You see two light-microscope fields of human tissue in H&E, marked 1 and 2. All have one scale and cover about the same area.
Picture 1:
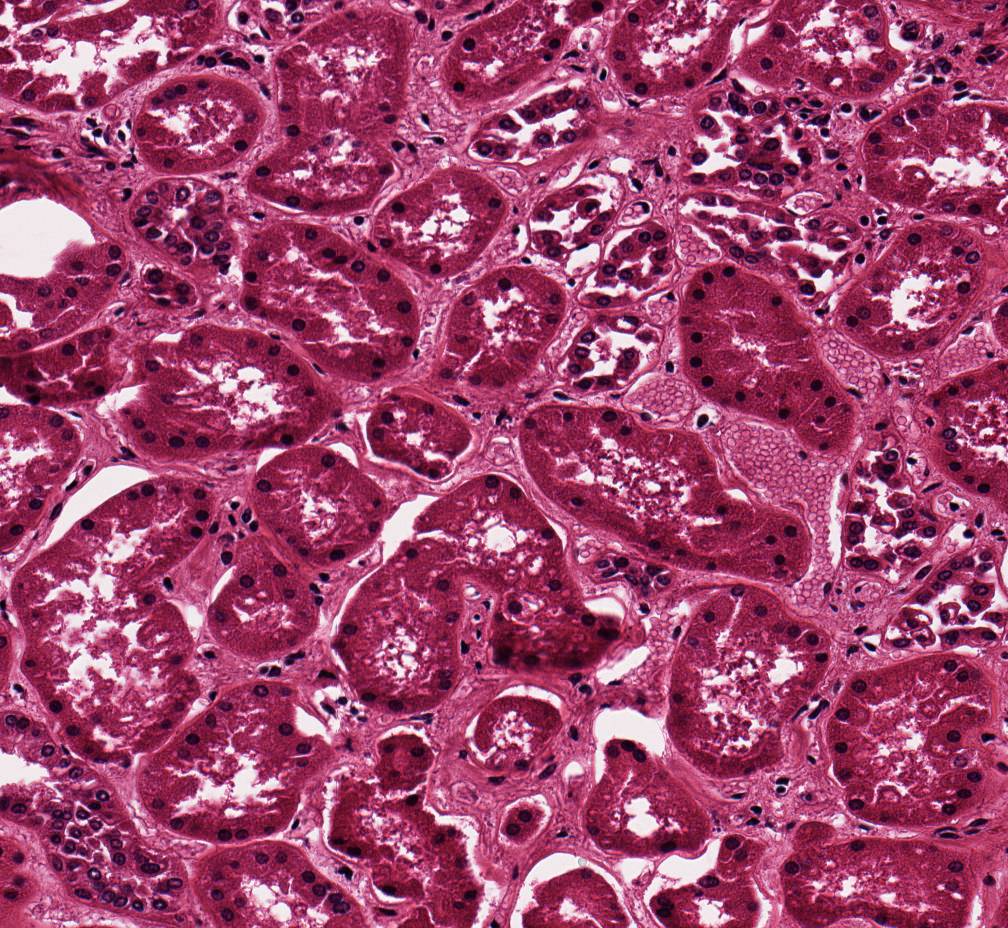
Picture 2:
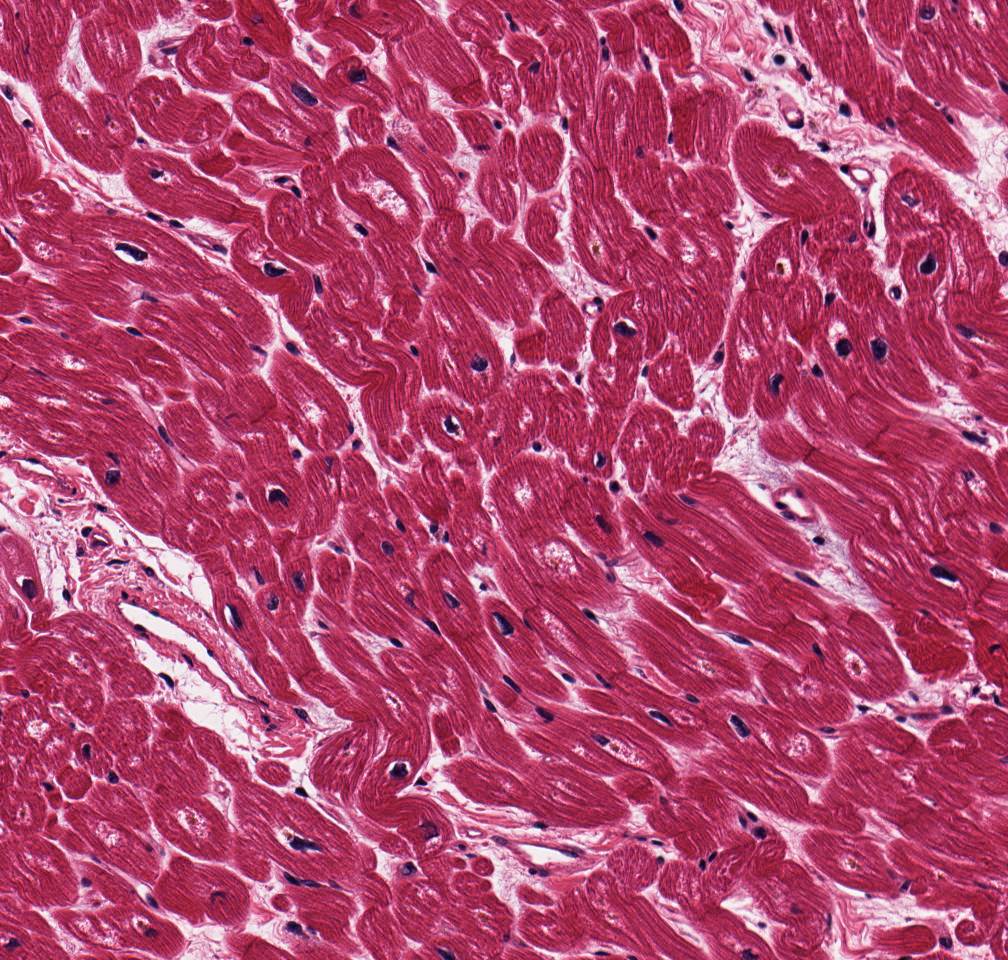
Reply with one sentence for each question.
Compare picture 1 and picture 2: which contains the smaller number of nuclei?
Fewer nuclei lie in picture 2 than in picture 1.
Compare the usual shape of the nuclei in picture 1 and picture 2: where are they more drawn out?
It is picture 2 whose nuclei are the more elongated.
